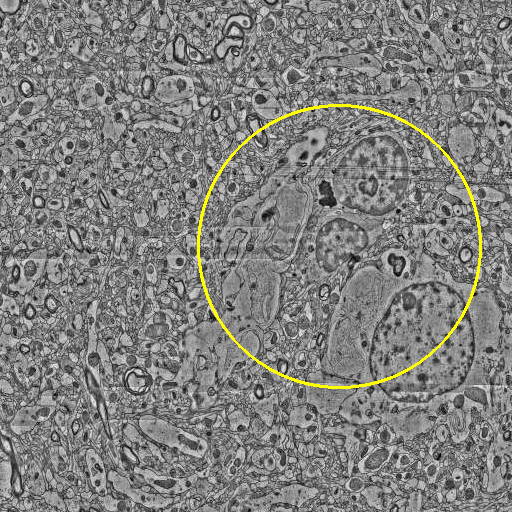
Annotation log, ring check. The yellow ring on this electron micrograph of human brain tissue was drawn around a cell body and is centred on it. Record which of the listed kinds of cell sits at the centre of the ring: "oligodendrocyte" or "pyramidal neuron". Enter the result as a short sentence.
The cell at the centre of the ring is an oligodendrocyte.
